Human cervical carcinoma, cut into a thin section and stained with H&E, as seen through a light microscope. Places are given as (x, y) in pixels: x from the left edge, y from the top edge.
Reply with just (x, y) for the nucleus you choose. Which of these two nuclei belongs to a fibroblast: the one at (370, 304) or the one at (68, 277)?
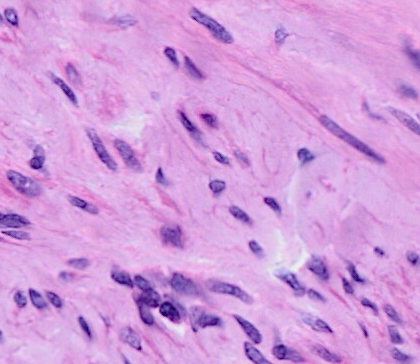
(68, 277)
